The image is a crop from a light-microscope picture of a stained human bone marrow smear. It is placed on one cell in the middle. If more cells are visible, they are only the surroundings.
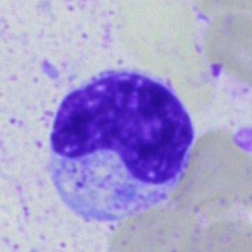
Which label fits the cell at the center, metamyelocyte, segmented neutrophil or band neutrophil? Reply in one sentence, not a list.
For this crop, the cell in the middle is a metamyelocyte.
